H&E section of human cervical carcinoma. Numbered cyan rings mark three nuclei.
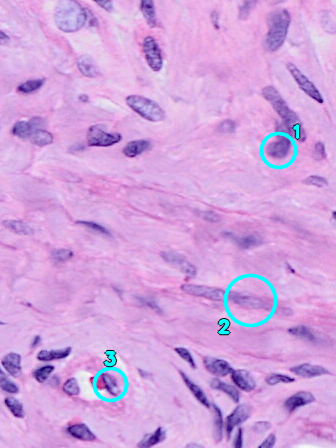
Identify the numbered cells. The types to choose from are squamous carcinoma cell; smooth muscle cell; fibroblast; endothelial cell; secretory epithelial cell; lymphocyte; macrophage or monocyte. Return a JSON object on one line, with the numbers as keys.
{"1": "fibroblast", "2": "smooth muscle cell", "3": "endothelial cell"}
